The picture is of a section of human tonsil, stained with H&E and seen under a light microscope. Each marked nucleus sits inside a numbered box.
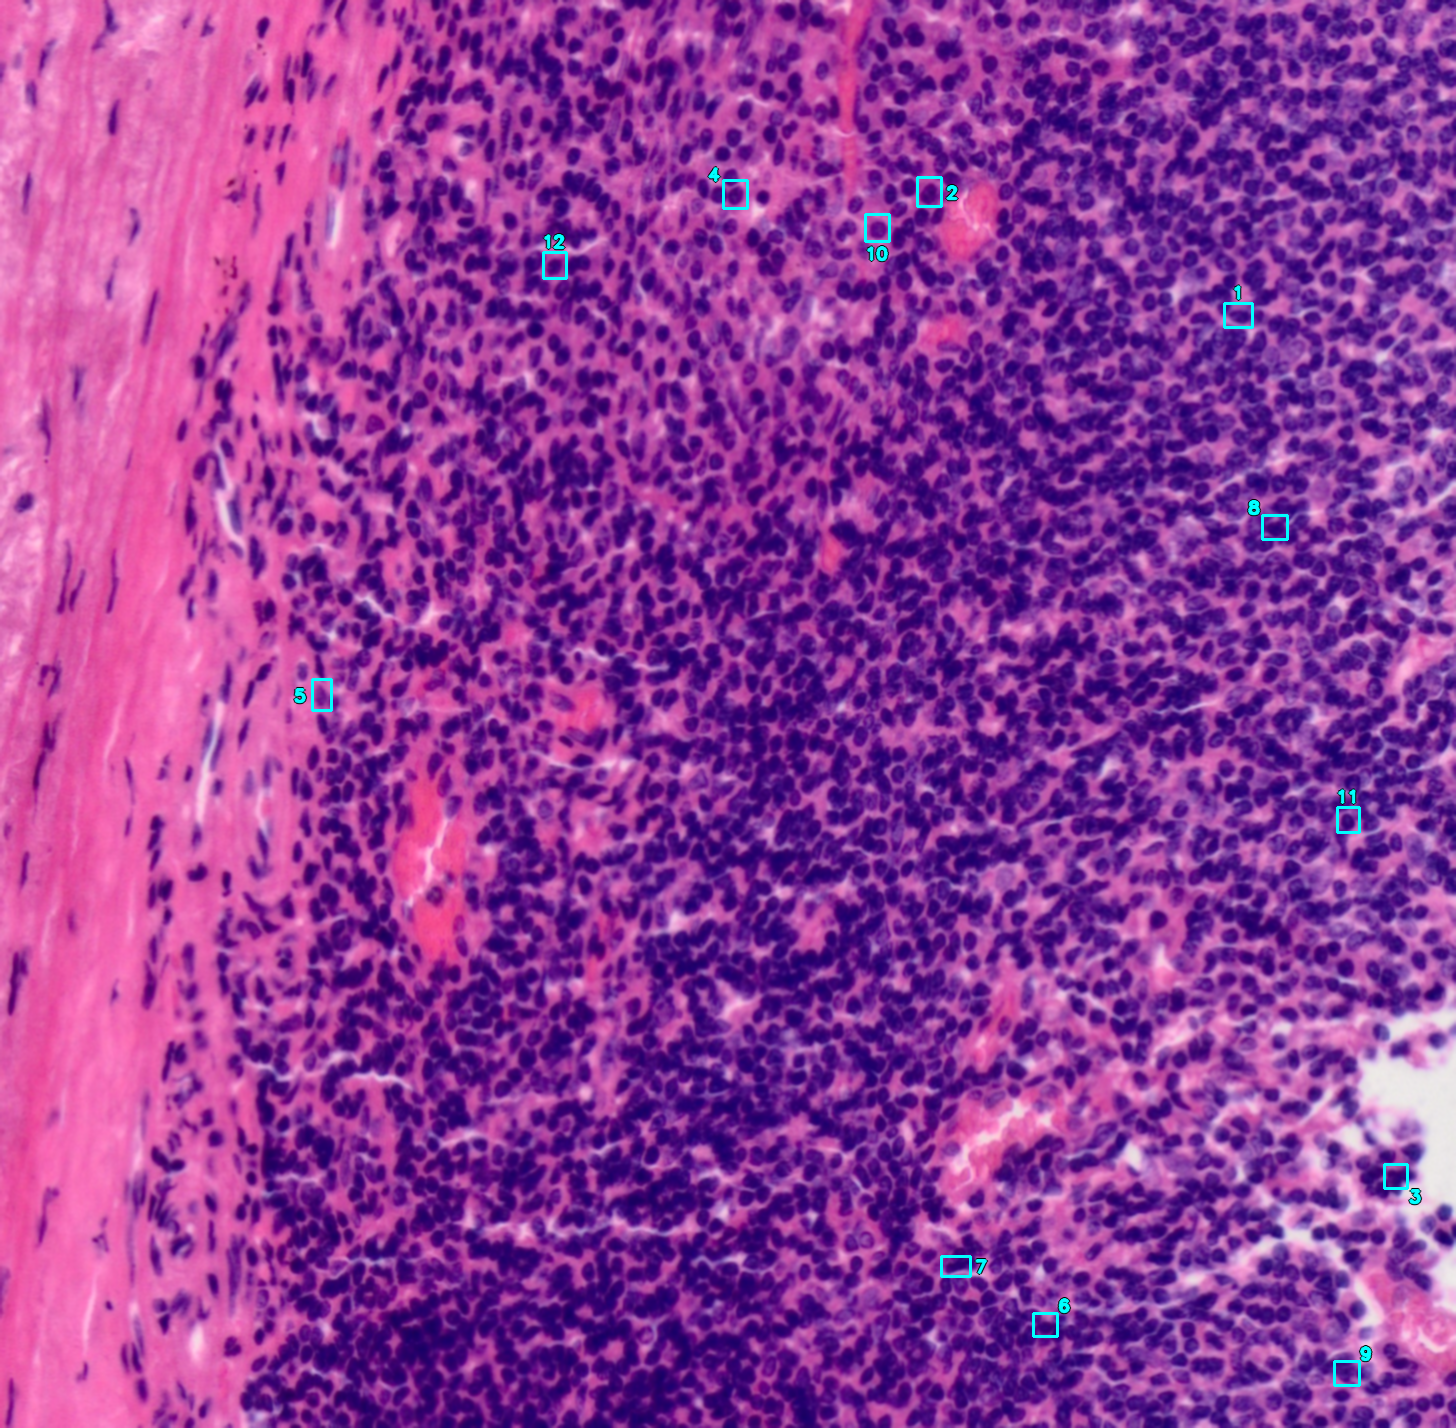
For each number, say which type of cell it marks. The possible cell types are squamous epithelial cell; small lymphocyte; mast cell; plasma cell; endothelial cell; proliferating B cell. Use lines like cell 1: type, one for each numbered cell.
cell 1: small lymphocyte
cell 2: plasma cell
cell 3: small lymphocyte
cell 4: plasma cell
cell 5: endothelial cell
cell 6: small lymphocyte
cell 7: small lymphocyte
cell 8: small lymphocyte
cell 9: small lymphocyte
cell 10: plasma cell
cell 11: small lymphocyte
cell 12: plasma cell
